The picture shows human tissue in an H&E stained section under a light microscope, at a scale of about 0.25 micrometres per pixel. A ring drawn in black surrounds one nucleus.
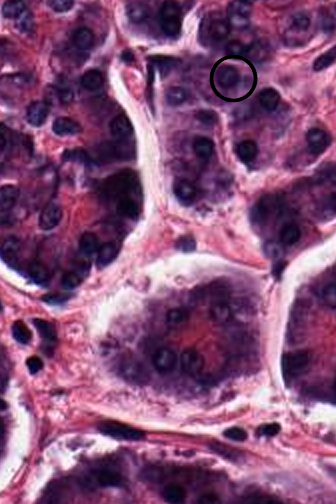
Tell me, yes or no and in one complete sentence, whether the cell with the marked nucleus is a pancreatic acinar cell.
Yes, a pancreatic acinar cell is the owner of the marked nucleus.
